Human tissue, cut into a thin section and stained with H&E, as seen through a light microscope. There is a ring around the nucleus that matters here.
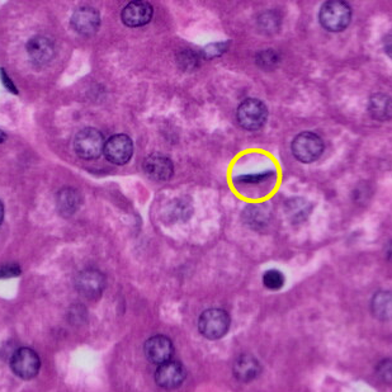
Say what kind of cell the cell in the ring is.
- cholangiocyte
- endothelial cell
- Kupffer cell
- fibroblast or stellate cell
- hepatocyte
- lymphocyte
endothelial cell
